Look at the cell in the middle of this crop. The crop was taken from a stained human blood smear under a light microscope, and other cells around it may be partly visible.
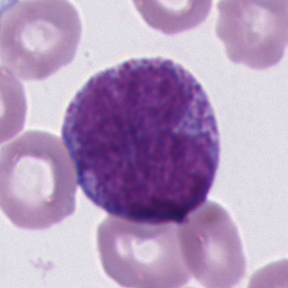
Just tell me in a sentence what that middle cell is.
By classification, the middle cell of this crop is a promyelocyte.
